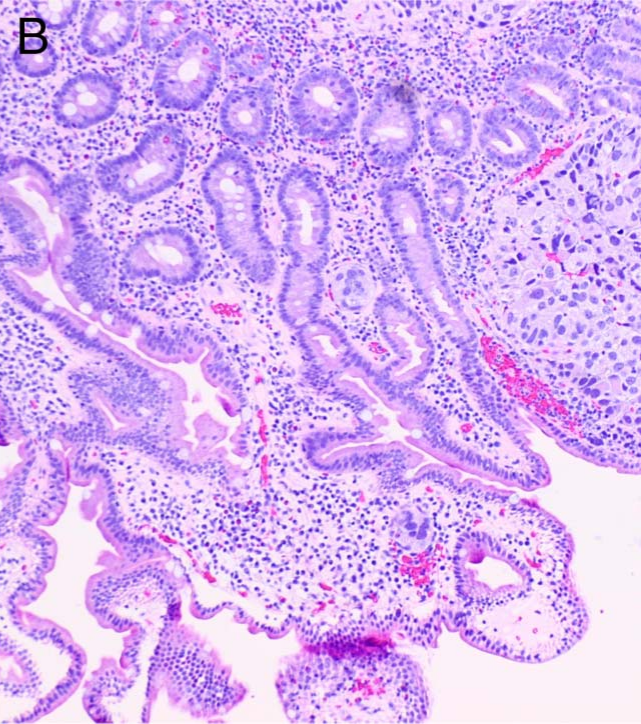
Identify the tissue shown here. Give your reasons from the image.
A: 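Finger-like villi lined by columnar epithelium with goblet cells. Crypts cut in cross-section in a cellular lamina propria. The answer: duodenum.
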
